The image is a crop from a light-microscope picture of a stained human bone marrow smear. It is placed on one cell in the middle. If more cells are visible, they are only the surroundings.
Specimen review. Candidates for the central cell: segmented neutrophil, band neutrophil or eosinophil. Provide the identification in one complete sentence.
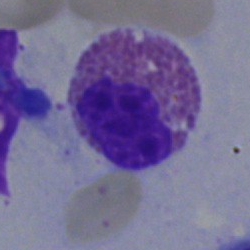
The cell featured at the centre of this crop is an eosinophil.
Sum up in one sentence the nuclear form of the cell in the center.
The cell carries one compact nucleus shaped round, oval or like a kidney.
